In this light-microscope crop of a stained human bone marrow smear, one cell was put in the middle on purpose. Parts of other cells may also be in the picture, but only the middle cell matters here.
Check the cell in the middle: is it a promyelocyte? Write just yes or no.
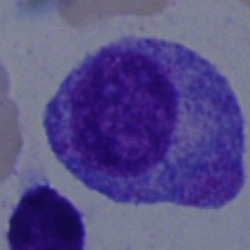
yes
